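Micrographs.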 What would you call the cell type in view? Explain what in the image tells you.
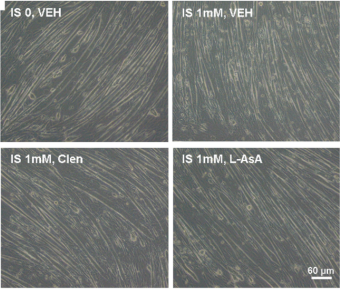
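Long, thin, tube-like cells running across the field. Cells lie roughly parallel to one another in dense sheets. Much longer than wide, far longer than single round cells nearby. The answer: myotubes.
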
